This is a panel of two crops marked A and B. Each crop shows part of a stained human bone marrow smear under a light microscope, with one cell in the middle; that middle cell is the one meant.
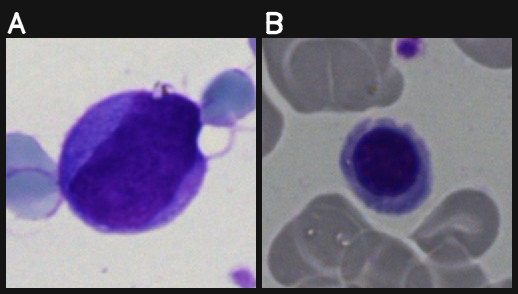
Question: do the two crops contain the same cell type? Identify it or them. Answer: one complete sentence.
No, the labels go like this: crop A is a blast and crop B is an erythroblast.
